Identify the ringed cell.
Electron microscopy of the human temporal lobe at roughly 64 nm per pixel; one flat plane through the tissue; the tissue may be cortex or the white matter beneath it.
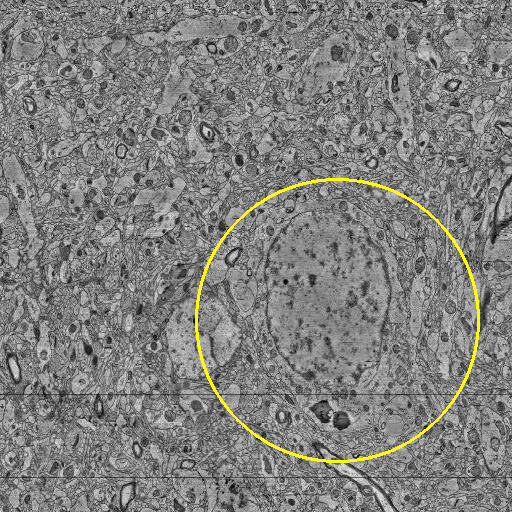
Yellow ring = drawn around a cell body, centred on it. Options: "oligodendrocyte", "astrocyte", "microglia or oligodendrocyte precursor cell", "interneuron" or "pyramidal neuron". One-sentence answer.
What the ring is centred on is an interneuron.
